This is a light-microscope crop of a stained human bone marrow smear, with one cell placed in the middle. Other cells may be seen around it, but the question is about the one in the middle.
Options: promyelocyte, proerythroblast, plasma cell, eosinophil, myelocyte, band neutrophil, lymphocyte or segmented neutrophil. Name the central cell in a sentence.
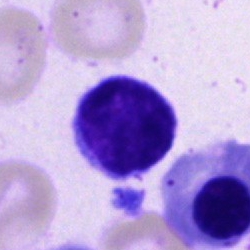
Within this crop, a lymphocyte occupies the central position.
